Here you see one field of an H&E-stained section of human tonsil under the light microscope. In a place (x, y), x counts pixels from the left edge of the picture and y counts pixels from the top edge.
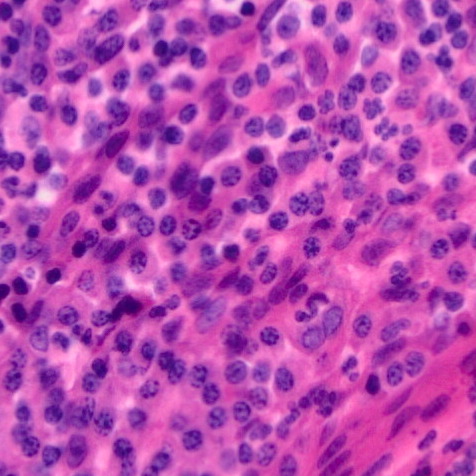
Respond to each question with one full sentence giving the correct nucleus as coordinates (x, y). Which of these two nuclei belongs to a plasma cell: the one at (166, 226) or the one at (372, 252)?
The nucleus located at (166, 226) is the one held within a plasma cell.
